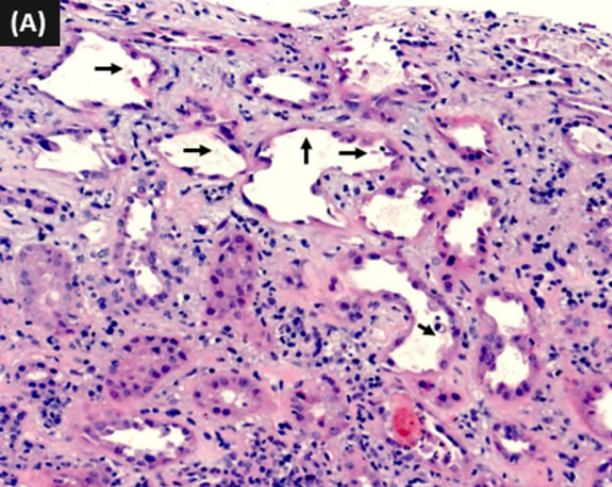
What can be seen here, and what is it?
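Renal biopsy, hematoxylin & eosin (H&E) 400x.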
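Kidney cortex with tubules whose lumens are widened and irregular, lined by flattened, thinned epithelial cells with sparse nuclei. Some lumens contain sloughed cells or debris, while nearby tubules keep taller pink cells. The interstitium between the tubules is widened and holds many small dark nuclei.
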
